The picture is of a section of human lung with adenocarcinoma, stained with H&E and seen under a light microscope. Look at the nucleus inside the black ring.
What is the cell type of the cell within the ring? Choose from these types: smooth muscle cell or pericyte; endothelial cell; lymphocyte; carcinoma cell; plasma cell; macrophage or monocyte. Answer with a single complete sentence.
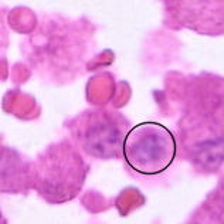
What the cell within the ring represents is a macrophage or monocyte.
